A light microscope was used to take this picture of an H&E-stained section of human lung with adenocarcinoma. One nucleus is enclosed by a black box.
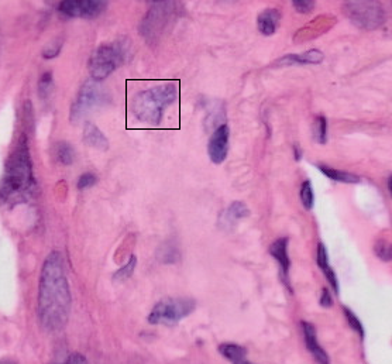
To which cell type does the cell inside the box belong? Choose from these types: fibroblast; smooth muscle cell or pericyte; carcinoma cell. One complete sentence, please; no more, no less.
In the stained section, the cell inside the box is a fibroblast.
